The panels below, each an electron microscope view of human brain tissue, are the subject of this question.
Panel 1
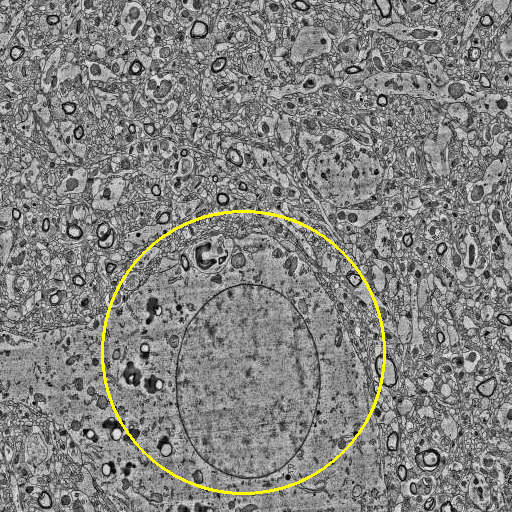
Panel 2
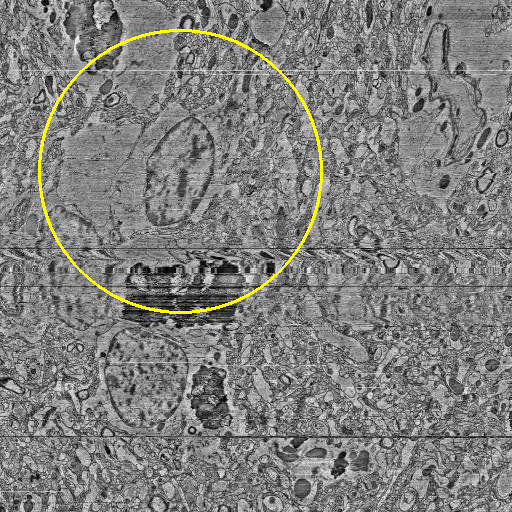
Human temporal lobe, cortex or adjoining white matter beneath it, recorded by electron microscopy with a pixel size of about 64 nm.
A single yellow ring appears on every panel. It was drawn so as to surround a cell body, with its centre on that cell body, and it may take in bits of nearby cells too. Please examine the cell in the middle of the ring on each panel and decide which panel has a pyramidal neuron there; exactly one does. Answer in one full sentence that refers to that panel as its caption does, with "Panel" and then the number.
Panel 1 is where the ring's central cell answers the question.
